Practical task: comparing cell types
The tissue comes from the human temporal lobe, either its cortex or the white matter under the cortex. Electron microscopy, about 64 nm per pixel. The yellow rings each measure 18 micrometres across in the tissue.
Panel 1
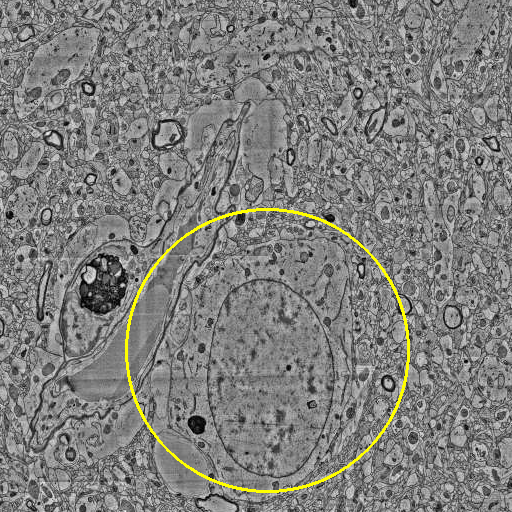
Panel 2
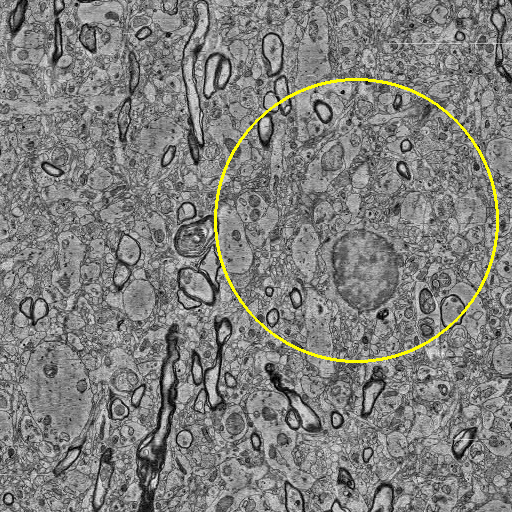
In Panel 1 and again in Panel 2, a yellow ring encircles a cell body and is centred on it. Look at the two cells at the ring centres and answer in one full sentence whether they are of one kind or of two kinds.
The two cells sitting at the ring centres of Panels 1 and 2 are of two kinds.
